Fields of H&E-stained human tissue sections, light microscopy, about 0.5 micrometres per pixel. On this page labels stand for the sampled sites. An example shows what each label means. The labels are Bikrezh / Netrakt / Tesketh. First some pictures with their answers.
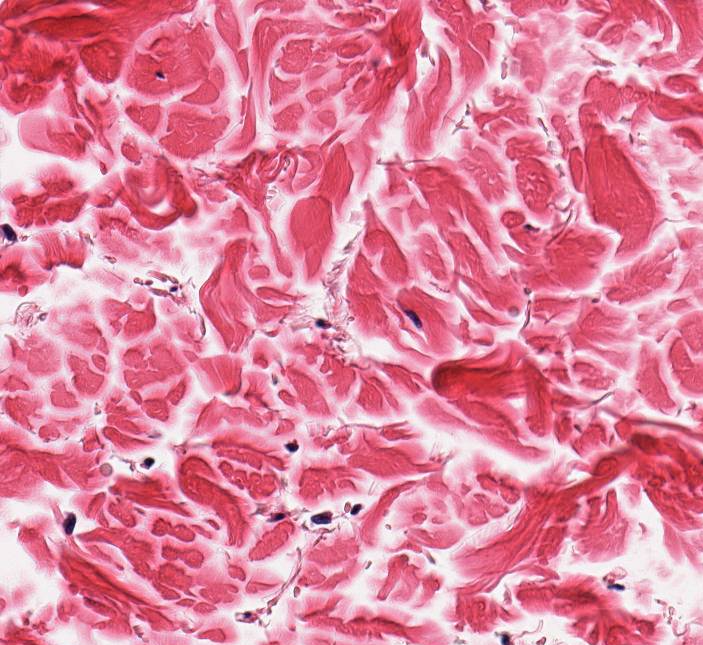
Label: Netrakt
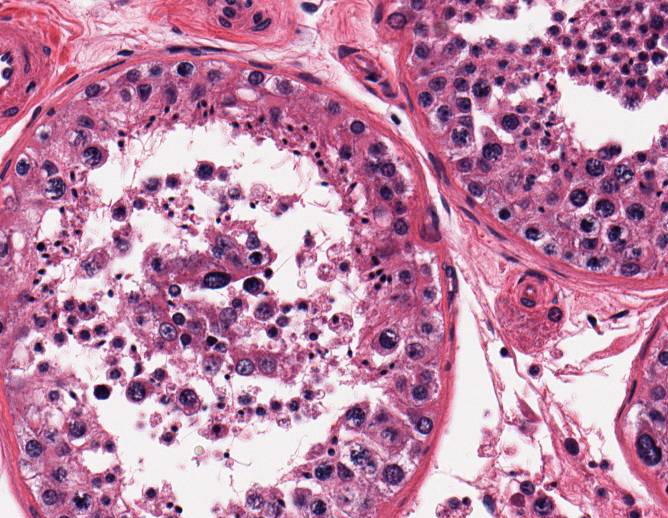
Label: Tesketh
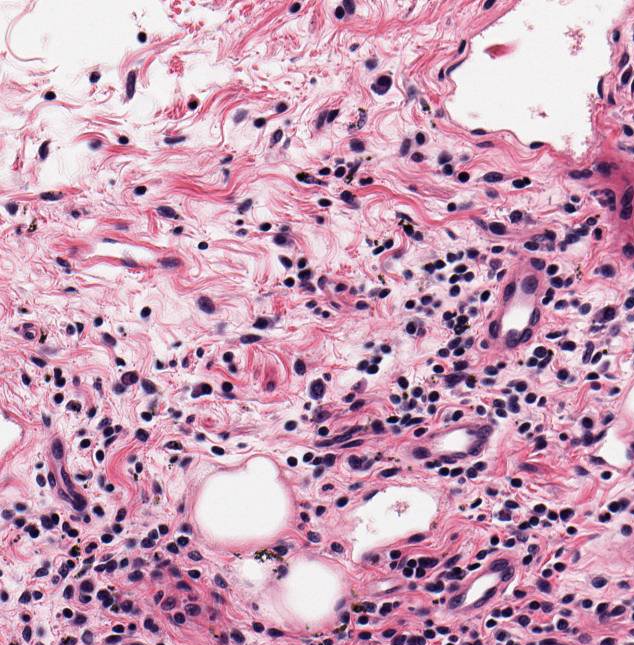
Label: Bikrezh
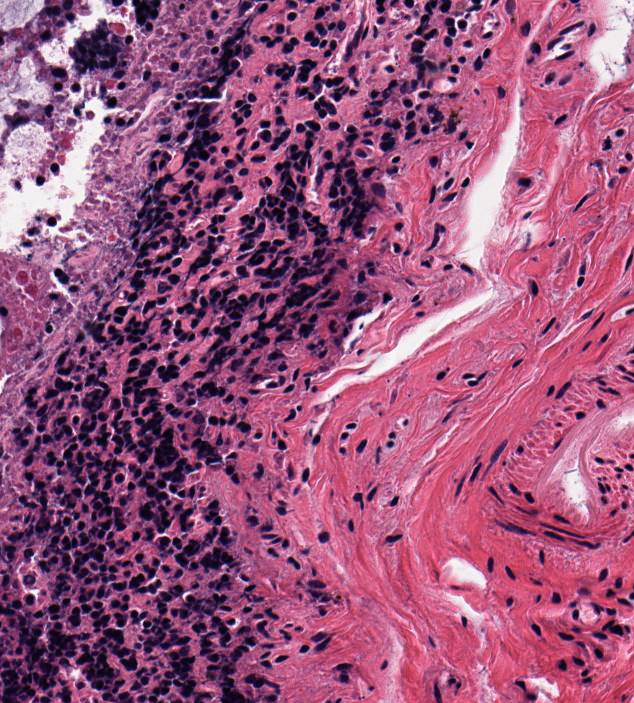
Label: Bikrezh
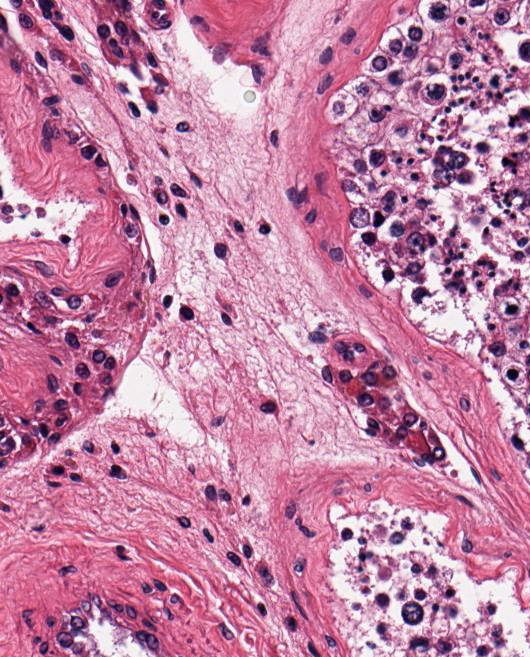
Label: Tesketh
